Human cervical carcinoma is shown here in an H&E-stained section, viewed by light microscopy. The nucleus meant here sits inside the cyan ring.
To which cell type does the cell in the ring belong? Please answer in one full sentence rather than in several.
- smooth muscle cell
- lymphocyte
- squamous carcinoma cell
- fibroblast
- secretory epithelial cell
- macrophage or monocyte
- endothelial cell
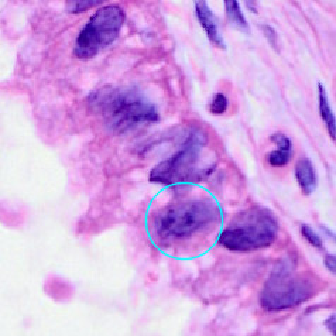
By cell type, the cell in the ring is a secretory epithelial cell.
